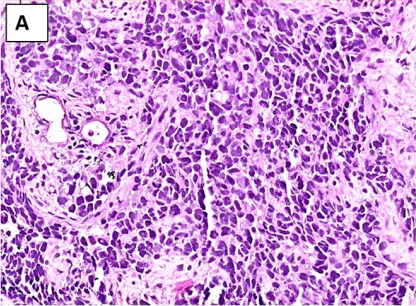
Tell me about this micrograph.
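Small round cell tumor growing as solid sheets of primitive cells with crowded, dark, hyperchromatic nuclei and scant cytoplasm. The cells are closely packed with little intervening stroma and no open alveolar spaces in the sheet. At one side a band of pink fibrous stroma holds a few small vessels.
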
